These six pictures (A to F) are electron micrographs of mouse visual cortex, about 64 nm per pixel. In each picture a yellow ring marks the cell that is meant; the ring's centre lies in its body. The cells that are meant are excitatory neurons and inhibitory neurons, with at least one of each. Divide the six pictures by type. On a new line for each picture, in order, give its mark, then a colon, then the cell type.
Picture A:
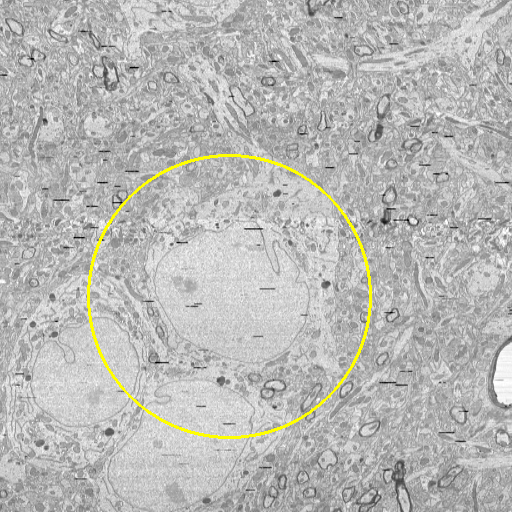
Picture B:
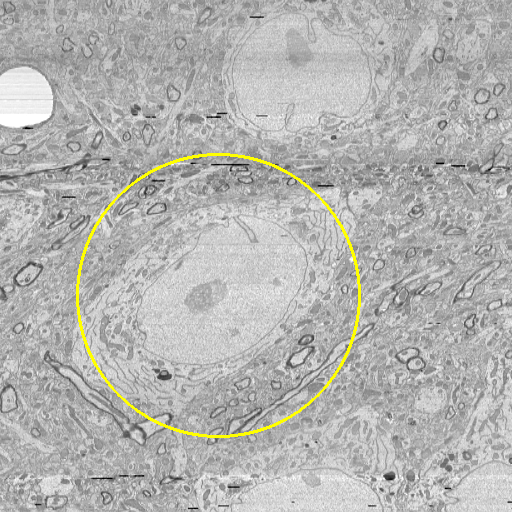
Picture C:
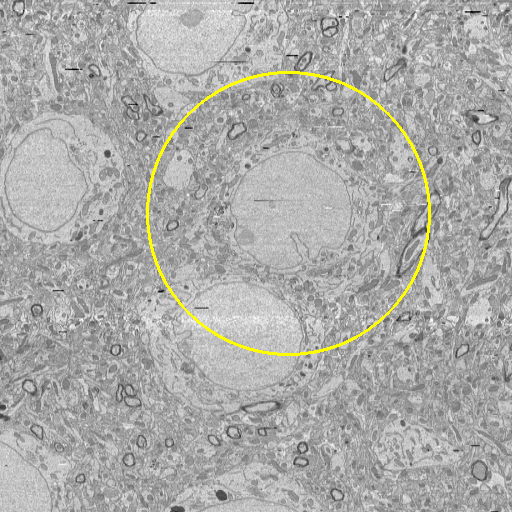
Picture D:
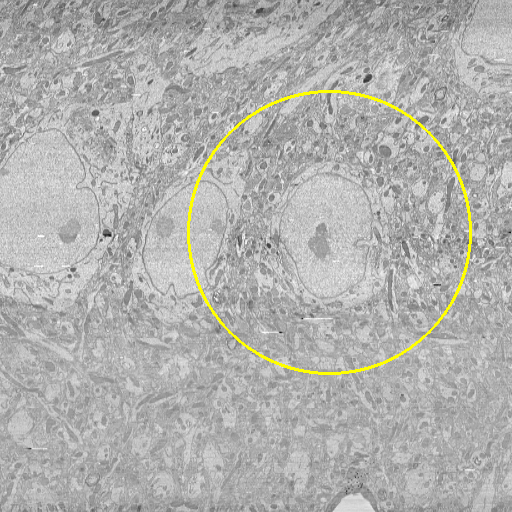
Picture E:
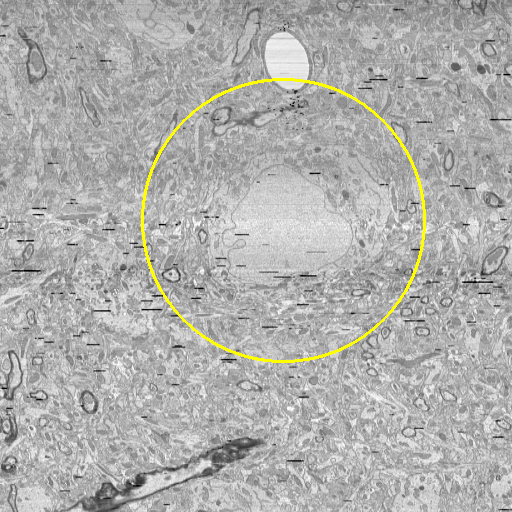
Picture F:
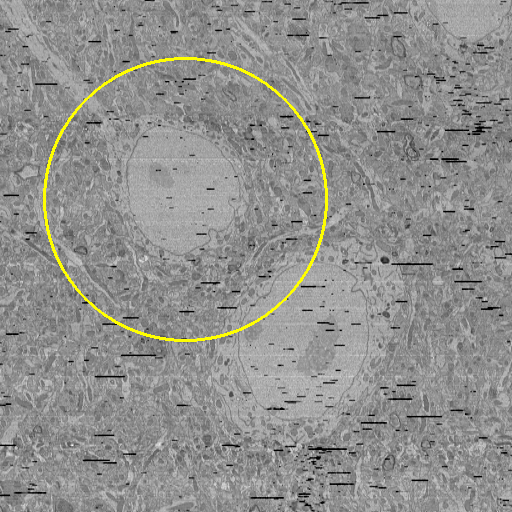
A: excitatory neuron
B: excitatory neuron
C: inhibitory neuron
D: inhibitory neuron
E: excitatory neuron
F: excitatory neuron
